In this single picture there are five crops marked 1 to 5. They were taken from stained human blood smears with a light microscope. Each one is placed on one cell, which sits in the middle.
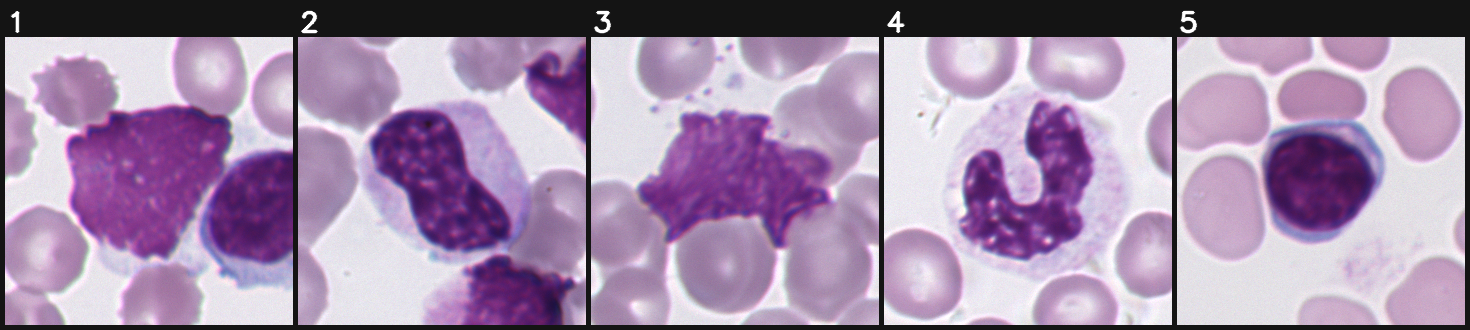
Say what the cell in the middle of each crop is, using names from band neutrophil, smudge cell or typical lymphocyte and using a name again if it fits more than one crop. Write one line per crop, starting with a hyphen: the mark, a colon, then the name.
- 1: smudge cell
- 2: band neutrophil
- 3: smudge cell
- 4: band neutrophil
- 5: typical lymphocyte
